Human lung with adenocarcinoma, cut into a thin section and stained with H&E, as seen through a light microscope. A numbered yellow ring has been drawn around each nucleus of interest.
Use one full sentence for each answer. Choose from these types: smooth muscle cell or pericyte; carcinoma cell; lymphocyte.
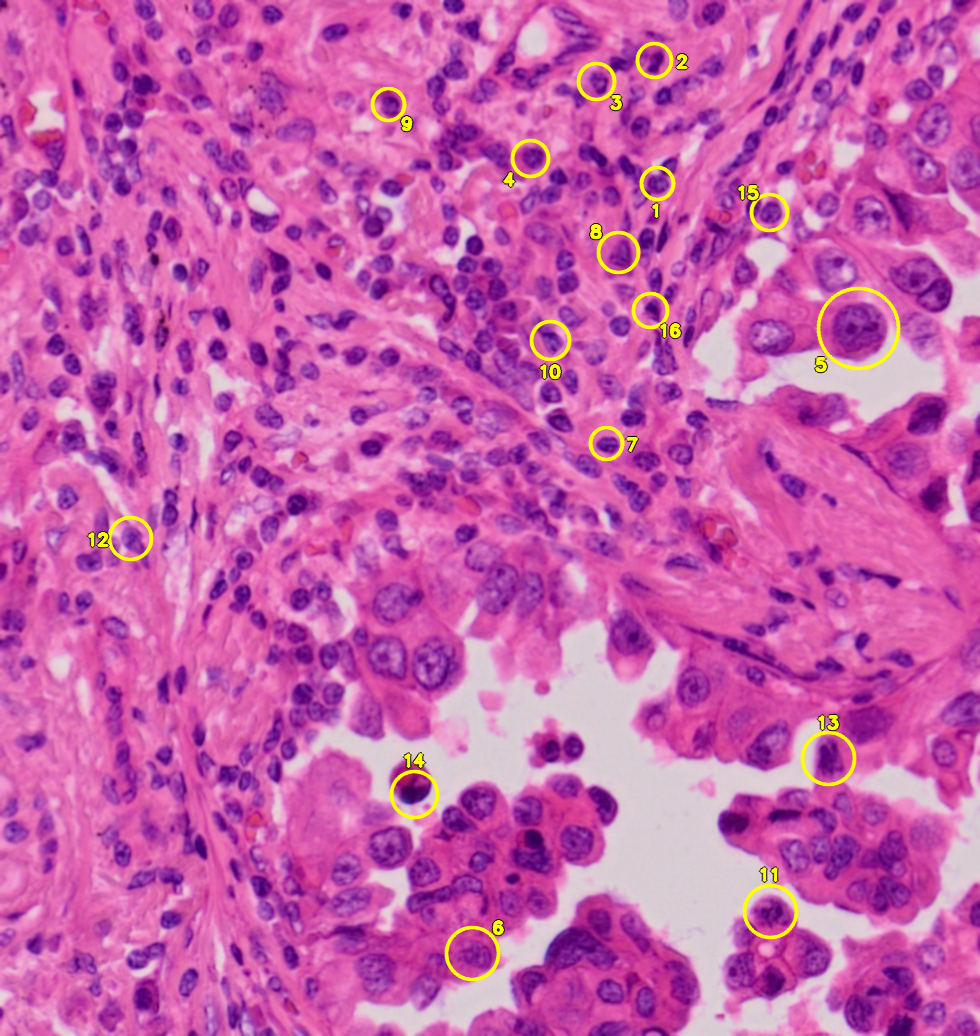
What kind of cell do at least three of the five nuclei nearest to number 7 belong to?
The majority of the five nuclei closest to number 7 belong to lymphocytes.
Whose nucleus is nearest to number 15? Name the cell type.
The nearest nucleus to number 15 belongs to a lymphocyte.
